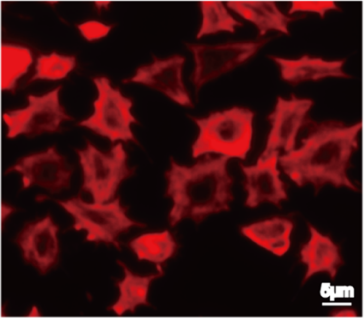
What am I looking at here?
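Scattered across a dark background are many small red-stained platelets, flattened against the surface. Most have spread into broad, thin sheets with angular, star-like outlines and several fine spiky projections radiating from the margins. Some cells lie close to or touching their neighbours, while a few remain small and rounded. Overall these are well spread platelets with extensive flattened sheets.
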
